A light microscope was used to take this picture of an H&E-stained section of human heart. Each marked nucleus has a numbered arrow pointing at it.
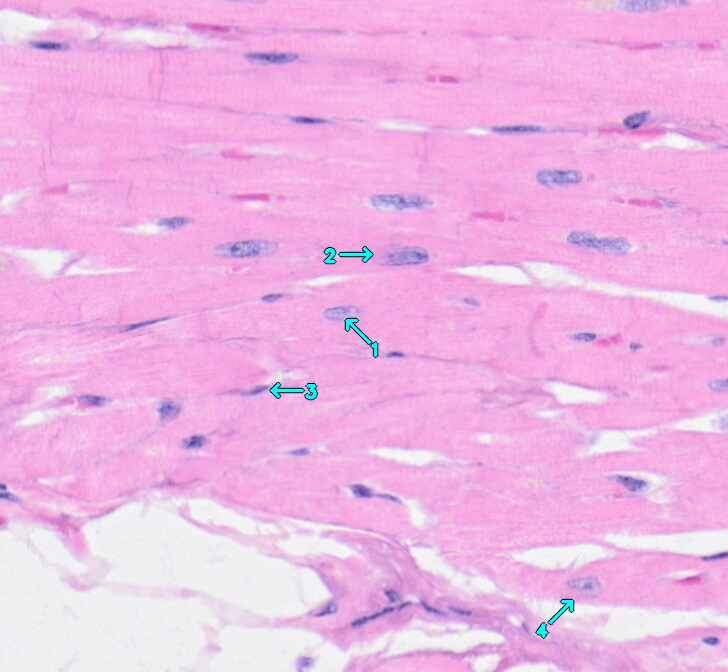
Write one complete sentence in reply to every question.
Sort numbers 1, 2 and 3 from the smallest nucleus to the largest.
From smallest to largest, the order is 3, 1, 2.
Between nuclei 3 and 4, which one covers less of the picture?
The smaller nucleus is 3, and 4 covers roughly 4 times its area.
